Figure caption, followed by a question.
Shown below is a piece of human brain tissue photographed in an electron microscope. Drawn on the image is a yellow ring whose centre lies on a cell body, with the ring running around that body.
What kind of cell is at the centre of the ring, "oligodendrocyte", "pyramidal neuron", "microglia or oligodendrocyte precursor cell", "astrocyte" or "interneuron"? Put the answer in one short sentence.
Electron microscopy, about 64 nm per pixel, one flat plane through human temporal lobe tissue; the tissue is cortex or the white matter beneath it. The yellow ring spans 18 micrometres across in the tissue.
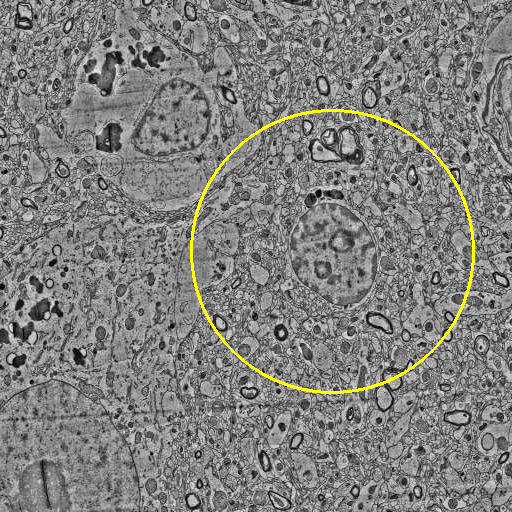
The ring marks the cell body of a microglial cell or oligodendrocyte precursor cell.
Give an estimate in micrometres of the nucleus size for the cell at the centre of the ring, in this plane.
The ringed cell's nucleus is about 7 micrometres long and 6 micrometres wide in this plane.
